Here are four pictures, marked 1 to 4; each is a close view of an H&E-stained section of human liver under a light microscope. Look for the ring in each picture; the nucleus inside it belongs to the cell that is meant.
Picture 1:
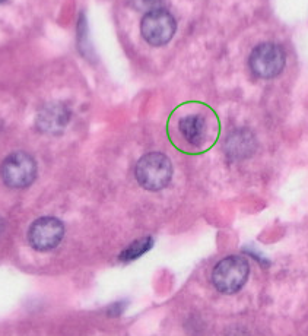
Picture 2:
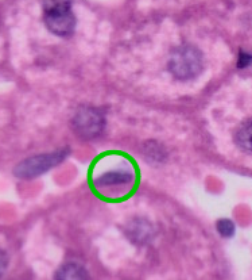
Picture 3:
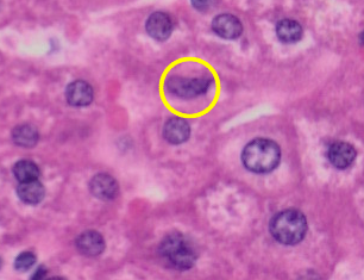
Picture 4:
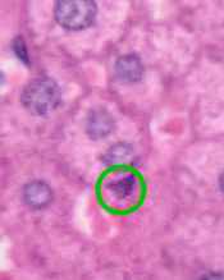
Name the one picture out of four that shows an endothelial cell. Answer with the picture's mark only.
2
